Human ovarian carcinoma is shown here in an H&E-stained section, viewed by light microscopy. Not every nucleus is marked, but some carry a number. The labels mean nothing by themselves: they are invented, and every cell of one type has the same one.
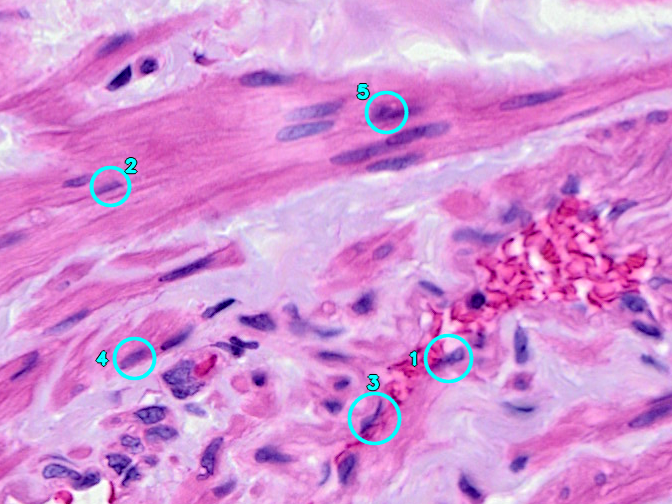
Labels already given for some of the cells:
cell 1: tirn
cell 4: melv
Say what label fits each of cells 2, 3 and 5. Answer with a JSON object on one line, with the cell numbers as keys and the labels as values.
{"2": "melv", "3": "tirn", "5": "melv"}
